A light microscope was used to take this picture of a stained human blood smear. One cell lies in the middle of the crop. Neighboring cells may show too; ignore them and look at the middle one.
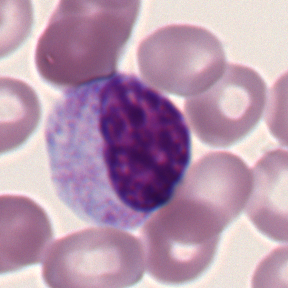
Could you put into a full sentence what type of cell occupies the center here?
The cell in the middle of this crop is a metamyelocyte.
